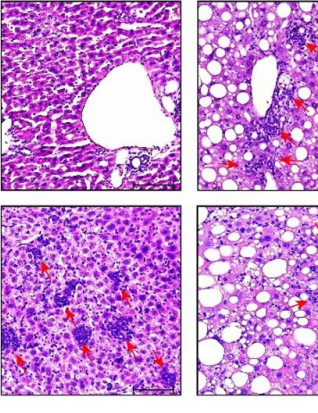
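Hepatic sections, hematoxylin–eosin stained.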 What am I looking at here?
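This grid of four liver sections shows hepatocyte plates with scattered clusters of small inflammatory cells. The hepatocytes are large polygonal cells with pink cytoplasm and round, paler purple nuclei, and the upper left image shows a large central vessel with orderly plates around it. The red arrows point to compact clusters of small cells with dense, dark purple nuclei and scant cytoplasm, which stand out against the pink parenchyma. In the right-hand column many hepatocytes hold round, clear, empty-looking vacuoles of varying size, which give the tissue a bubbly, pale appearance.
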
